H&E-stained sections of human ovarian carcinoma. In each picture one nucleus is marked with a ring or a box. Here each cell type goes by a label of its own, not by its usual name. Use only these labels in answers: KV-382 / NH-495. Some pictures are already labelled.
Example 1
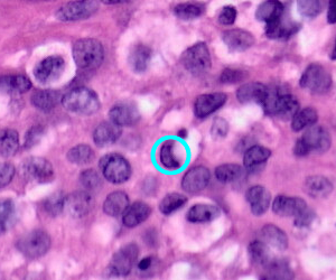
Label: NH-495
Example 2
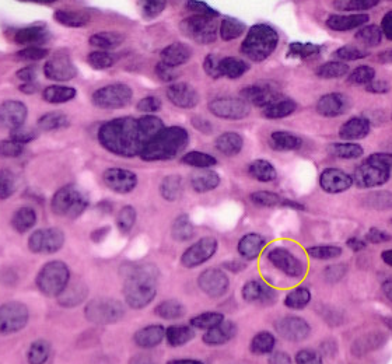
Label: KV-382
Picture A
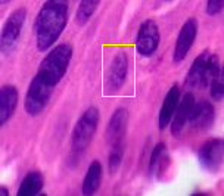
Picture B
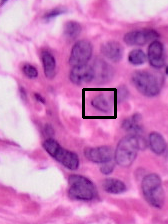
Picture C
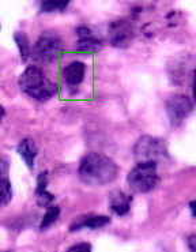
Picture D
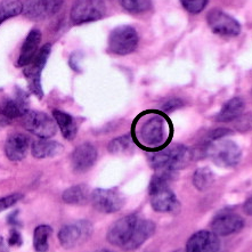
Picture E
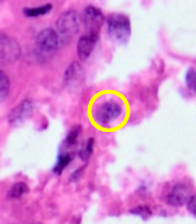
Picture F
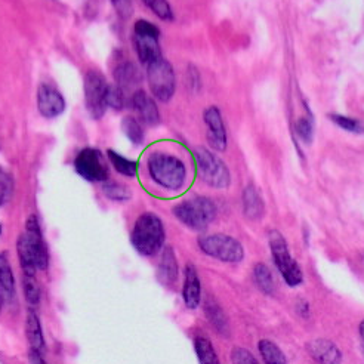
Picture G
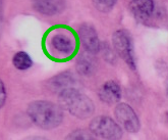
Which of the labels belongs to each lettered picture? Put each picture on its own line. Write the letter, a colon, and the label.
A: KV-382
B: NH-495
C: KV-382
D: KV-382
E: NH-495
F: NH-495
G: NH-495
